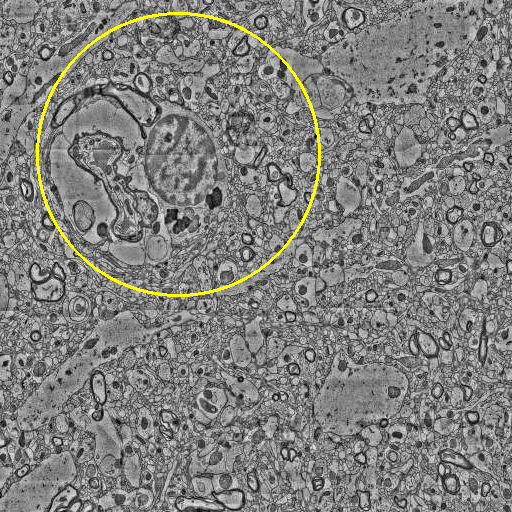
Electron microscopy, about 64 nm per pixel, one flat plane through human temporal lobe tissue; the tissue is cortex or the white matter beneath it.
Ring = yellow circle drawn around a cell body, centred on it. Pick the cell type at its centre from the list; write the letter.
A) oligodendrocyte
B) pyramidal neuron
A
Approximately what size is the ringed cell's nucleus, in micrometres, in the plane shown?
The ringed cell's nucleus is about 7 micrometres long and 5 micrometres wide in this plane.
